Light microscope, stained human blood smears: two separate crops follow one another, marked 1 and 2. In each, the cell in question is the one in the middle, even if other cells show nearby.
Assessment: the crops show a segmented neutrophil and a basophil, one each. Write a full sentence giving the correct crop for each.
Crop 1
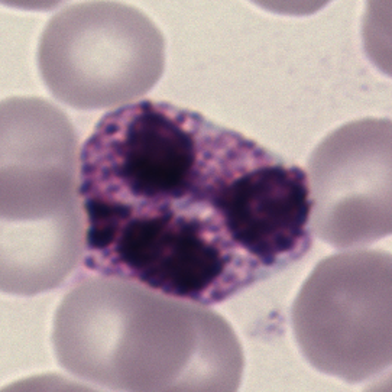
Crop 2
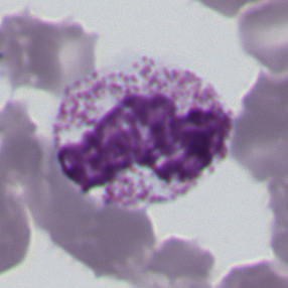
Crop 1 corresponds to a basophil, and crop 2 corresponds to a segmented neutrophil.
